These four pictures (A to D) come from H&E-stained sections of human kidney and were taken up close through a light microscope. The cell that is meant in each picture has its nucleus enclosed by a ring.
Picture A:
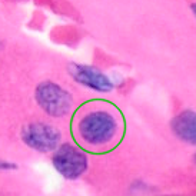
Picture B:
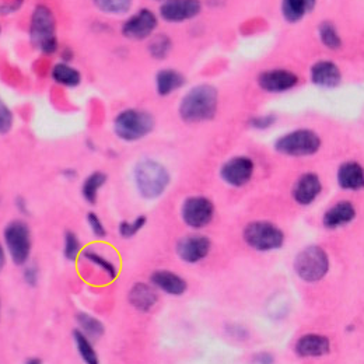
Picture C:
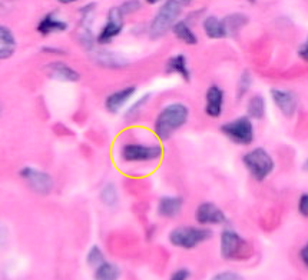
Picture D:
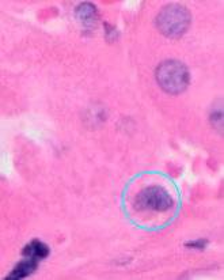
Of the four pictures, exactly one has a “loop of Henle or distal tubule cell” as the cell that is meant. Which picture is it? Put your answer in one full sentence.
The “loop of Henle or distal tubule cell” is the one in picture A.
